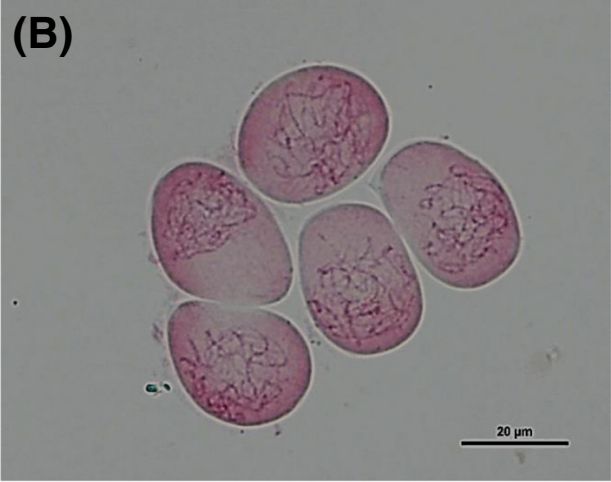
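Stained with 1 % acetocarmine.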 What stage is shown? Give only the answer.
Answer: Pachytene stage.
